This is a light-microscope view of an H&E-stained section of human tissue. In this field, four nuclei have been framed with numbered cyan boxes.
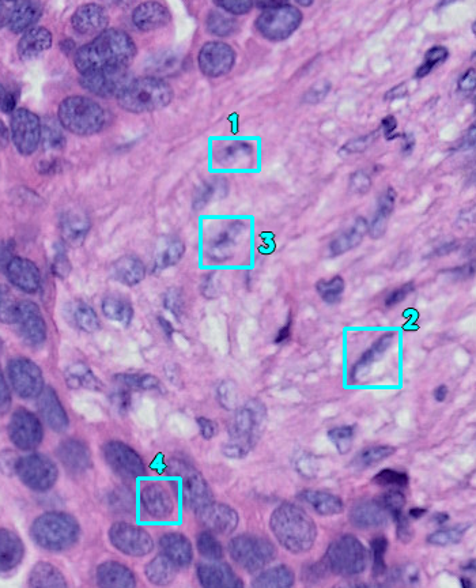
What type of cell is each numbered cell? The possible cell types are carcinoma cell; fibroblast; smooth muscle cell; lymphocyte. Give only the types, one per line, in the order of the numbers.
fibroblast
fibroblast
fibroblast
carcinoma cell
